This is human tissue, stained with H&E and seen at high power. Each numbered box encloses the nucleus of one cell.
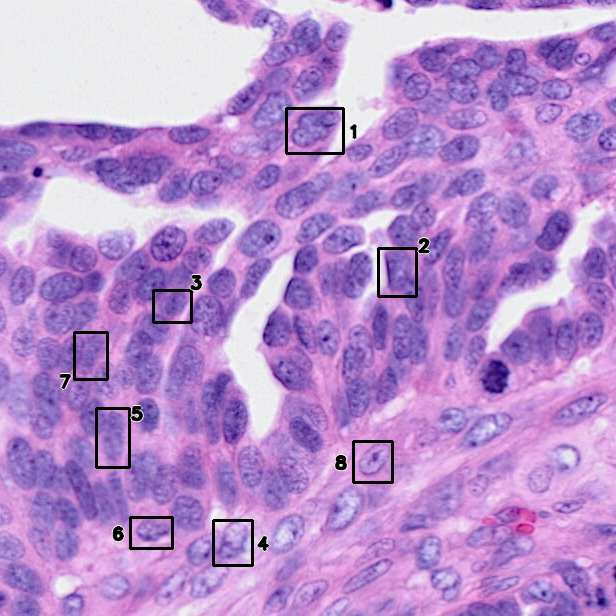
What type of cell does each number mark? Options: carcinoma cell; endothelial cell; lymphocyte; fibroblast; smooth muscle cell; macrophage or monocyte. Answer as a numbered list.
1. carcinoma cell
2. carcinoma cell
3. carcinoma cell
4. fibroblast
5. carcinoma cell
6. macrophage or monocyte
7. carcinoma cell
8. fibroblast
